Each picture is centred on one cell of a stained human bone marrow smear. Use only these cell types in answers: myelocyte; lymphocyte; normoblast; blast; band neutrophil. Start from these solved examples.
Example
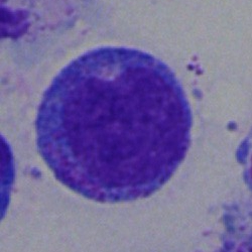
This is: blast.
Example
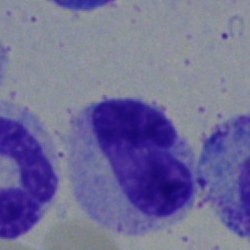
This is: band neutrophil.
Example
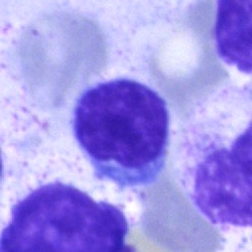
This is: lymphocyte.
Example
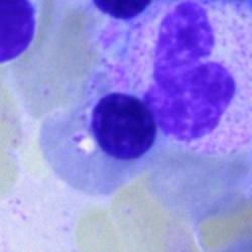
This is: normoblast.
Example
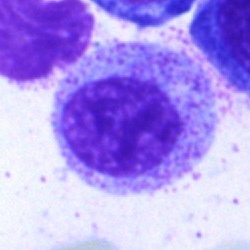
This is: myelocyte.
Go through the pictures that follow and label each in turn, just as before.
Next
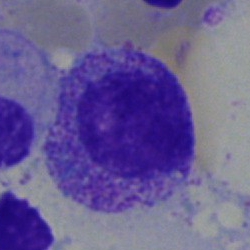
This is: myelocyte.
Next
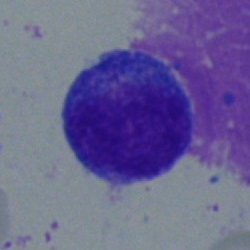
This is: blast.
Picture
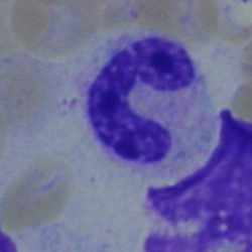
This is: band neutrophil.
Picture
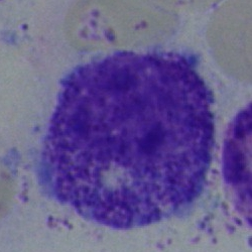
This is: myelocyte.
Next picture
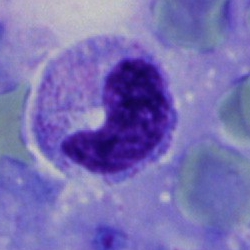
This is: band neutrophil.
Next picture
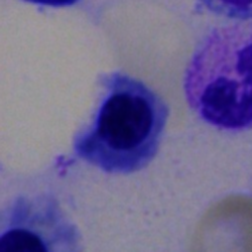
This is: normoblast.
